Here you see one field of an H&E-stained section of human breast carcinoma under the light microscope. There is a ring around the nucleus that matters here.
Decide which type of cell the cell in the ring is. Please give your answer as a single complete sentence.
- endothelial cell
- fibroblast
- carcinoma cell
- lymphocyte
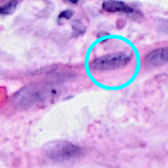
In the context of this tissue, the cell in the ring is an endothelial cell.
